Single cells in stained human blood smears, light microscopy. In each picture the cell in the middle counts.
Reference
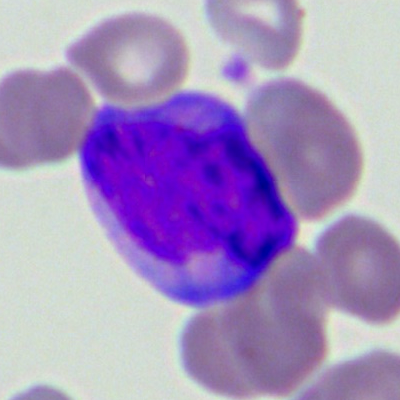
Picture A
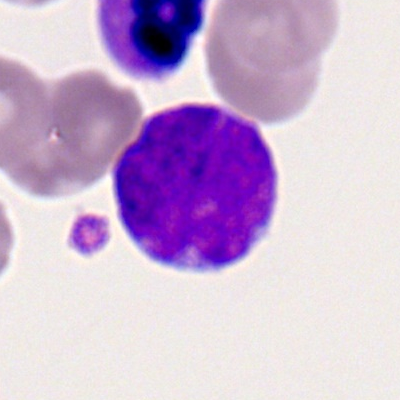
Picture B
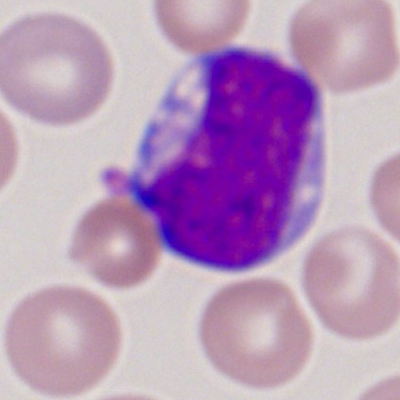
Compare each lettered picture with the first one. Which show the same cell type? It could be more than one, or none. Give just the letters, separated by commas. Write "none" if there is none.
A, B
